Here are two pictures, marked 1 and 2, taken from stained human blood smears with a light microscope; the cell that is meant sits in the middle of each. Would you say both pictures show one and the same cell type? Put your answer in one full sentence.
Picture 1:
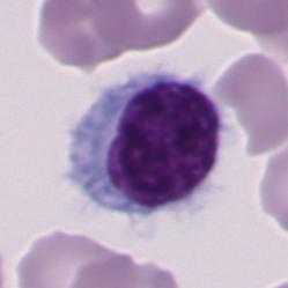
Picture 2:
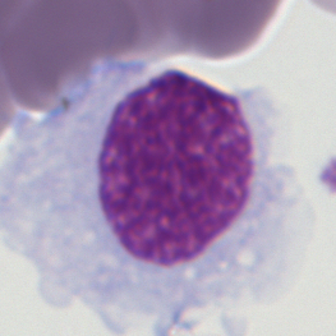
Yes, both are hairy cells.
